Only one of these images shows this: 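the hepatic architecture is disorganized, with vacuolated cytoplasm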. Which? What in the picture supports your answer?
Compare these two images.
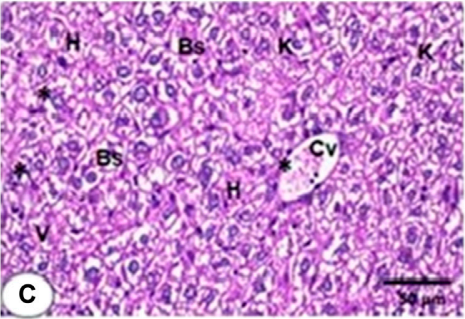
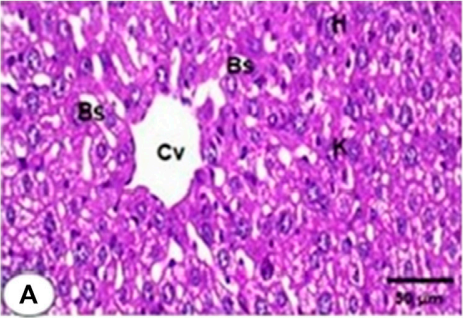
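The first image. First image: hepatocytes have pale, cleared cytoplasm and the cell plates lack a clear radiating order around the vein. Second image: plates of pink hepatocytes run in orderly cords toward the central vein, separated by narrow sinusoids.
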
